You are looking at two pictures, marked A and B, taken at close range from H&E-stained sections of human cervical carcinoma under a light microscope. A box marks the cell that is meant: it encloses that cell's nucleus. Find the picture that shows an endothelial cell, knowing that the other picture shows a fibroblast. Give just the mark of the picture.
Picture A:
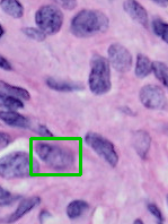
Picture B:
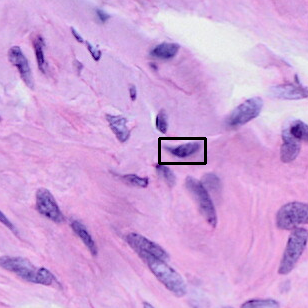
A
